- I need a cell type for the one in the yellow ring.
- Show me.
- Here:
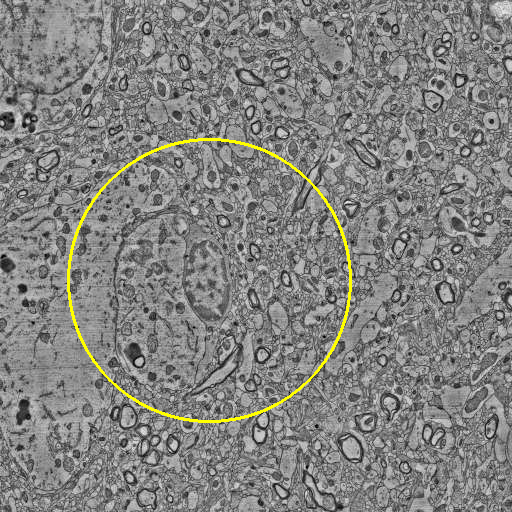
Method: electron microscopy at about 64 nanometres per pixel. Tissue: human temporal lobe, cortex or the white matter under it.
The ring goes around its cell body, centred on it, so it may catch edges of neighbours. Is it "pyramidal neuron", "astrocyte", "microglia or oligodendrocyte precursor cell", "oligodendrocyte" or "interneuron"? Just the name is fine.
oligodendrocyte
